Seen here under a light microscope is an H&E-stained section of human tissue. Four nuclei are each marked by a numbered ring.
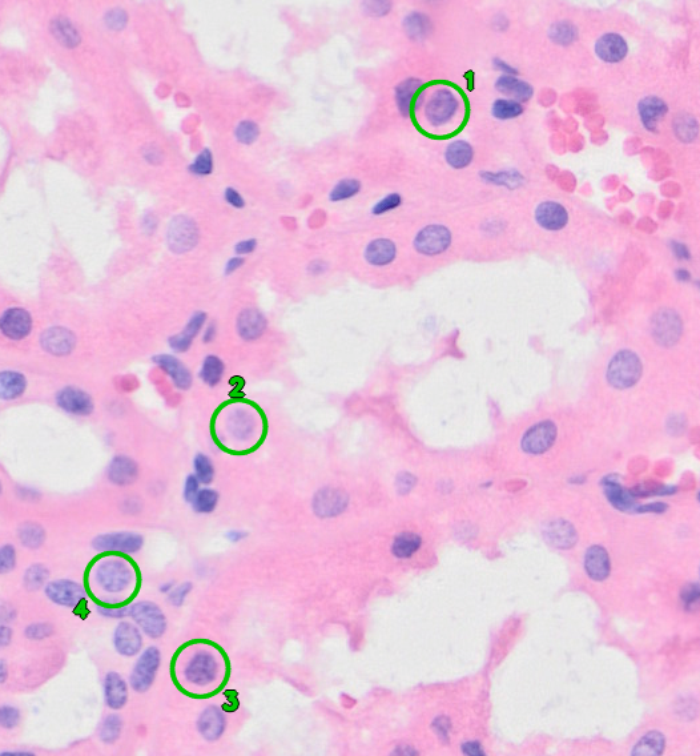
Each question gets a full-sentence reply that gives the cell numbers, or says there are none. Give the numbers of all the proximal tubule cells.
As for the cells numbered 1, 2 and 3, they are proximal tubule cells.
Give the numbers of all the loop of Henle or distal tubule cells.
Numbered cell by numbered cell, the tally of loop of Henle or distal tubule cells stays at zero.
